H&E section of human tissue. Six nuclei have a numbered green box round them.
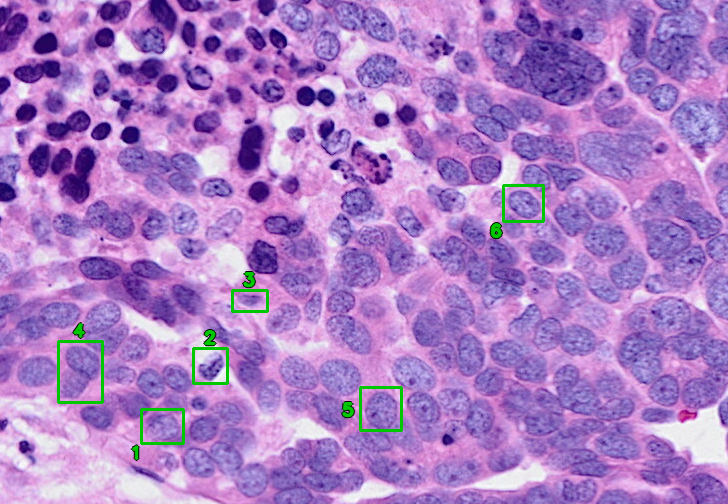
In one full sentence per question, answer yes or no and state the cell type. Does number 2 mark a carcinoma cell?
No, cell 2 is identified not as a carcinoma cell but as a macrophage or monocyte.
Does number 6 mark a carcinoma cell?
Yes, the cell denoted by 6 is a carcinoma cell.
